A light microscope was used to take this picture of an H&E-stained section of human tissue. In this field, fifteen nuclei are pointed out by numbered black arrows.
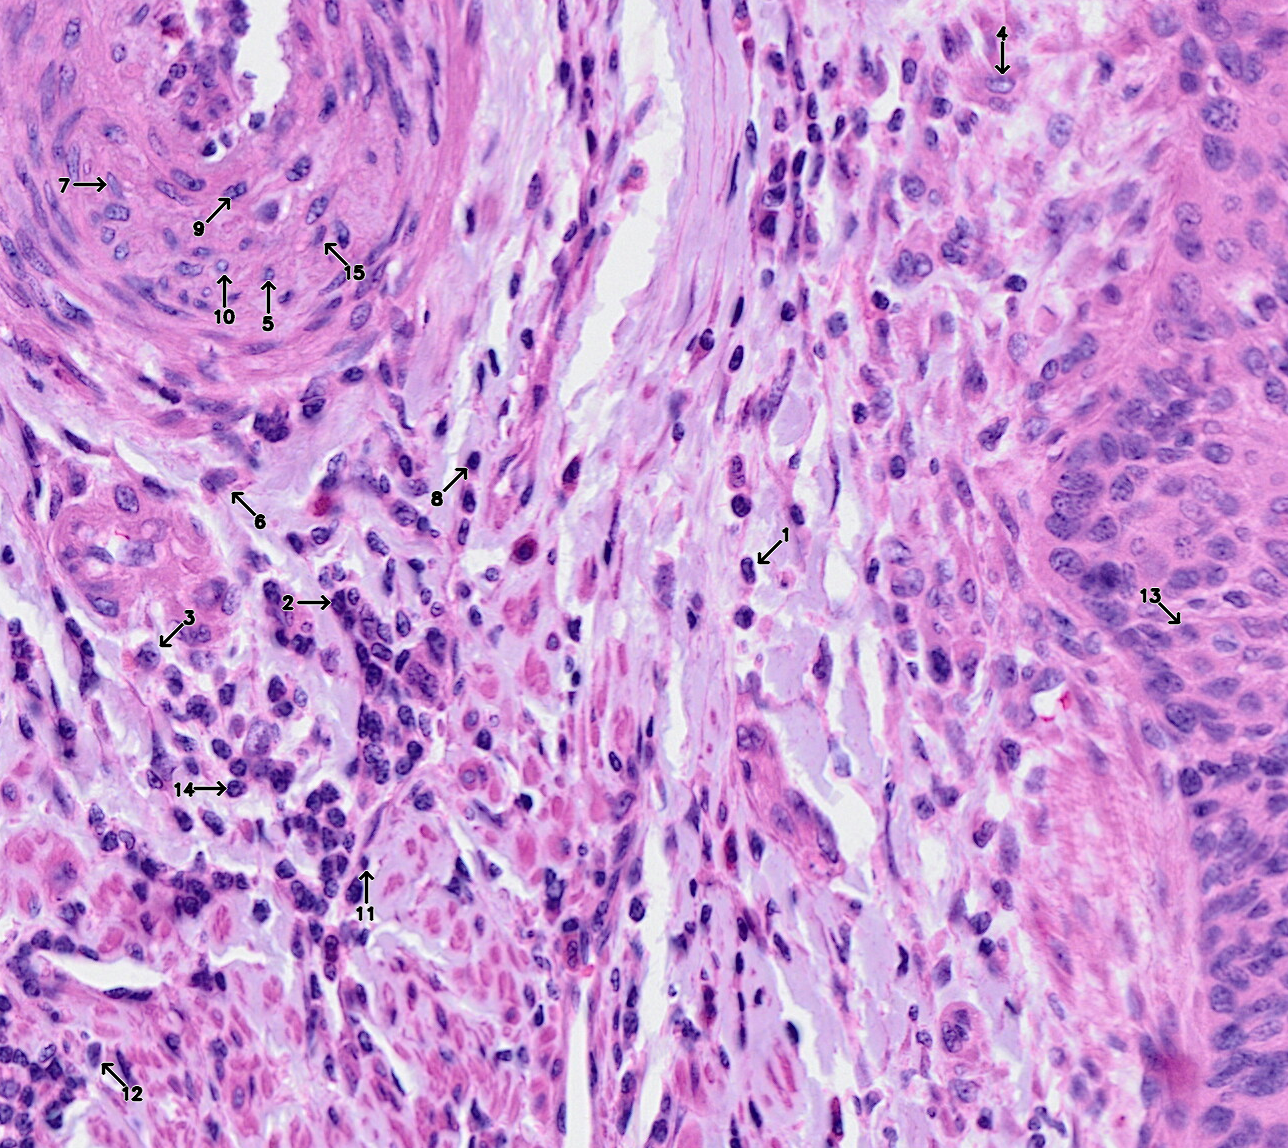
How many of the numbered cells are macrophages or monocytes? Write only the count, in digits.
2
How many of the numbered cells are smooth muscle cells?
5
